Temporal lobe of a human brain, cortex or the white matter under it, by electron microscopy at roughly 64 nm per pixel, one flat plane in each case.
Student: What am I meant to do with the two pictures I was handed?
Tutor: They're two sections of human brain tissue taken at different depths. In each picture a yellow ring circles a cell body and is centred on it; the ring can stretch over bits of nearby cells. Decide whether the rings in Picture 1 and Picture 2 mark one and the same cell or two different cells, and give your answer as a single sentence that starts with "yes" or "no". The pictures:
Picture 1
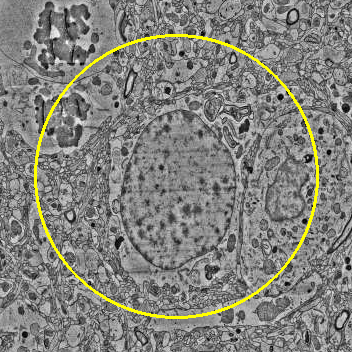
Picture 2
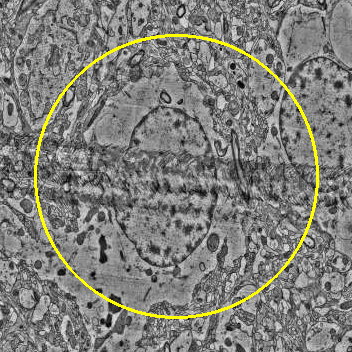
No, each ring encloses a different cell in the tissue.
